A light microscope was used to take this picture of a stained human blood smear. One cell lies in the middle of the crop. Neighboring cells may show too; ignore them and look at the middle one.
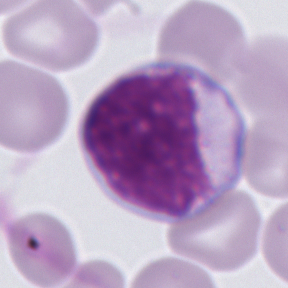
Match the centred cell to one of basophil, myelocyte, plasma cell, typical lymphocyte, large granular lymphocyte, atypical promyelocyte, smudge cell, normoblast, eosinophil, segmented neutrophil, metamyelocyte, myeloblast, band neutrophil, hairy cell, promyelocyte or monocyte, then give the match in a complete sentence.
This crop is built around a large granular lymphocyte at its centre.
